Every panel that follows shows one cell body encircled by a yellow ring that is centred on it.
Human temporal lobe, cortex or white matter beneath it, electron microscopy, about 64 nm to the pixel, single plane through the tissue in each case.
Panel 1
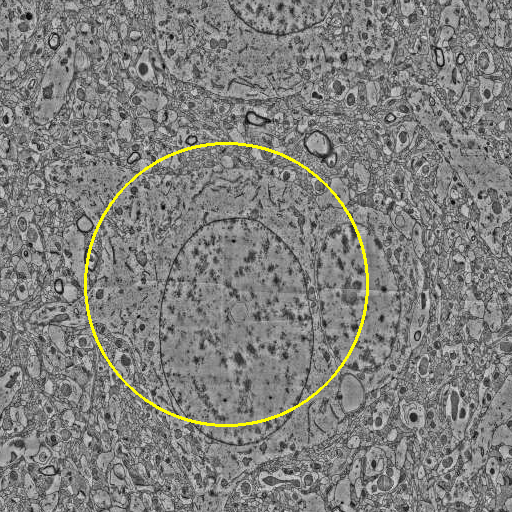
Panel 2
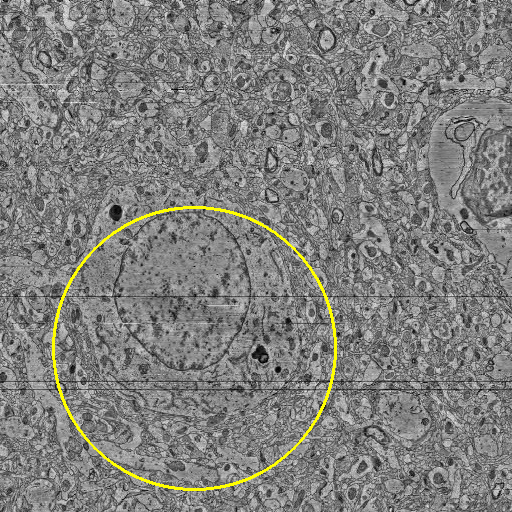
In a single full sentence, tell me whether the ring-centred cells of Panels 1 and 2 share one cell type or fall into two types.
In Panel 1 and Panel 2, the cells at the ring centres share one cell type.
